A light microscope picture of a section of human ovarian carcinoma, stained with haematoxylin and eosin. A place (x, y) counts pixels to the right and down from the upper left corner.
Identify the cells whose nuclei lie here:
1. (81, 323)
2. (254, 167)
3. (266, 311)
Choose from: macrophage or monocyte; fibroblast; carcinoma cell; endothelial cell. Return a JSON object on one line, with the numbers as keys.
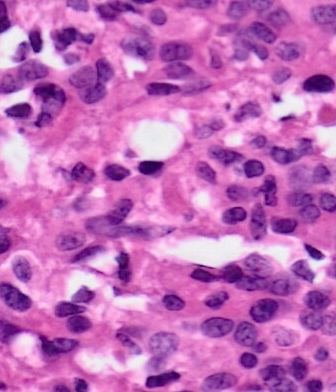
{"1": "carcinoma cell", "2": "macrophage or monocyte", "3": "carcinoma cell"}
